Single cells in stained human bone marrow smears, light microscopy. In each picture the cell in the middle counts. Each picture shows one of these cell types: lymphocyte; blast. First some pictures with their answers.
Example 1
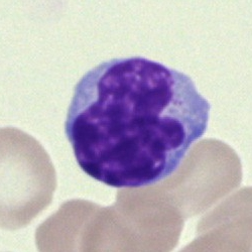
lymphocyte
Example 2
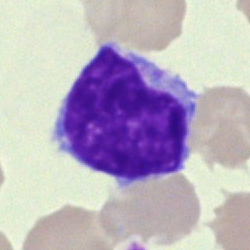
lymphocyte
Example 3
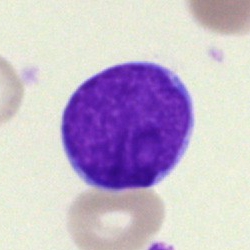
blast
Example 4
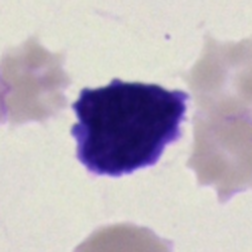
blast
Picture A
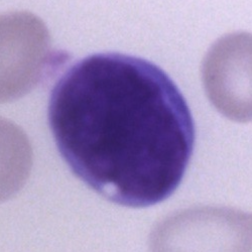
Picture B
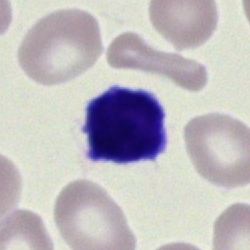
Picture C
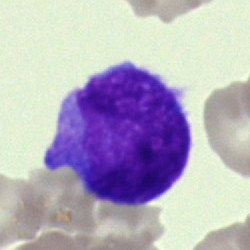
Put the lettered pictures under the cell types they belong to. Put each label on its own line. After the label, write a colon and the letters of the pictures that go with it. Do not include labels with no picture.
lymphocyte: B
blast: A, C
